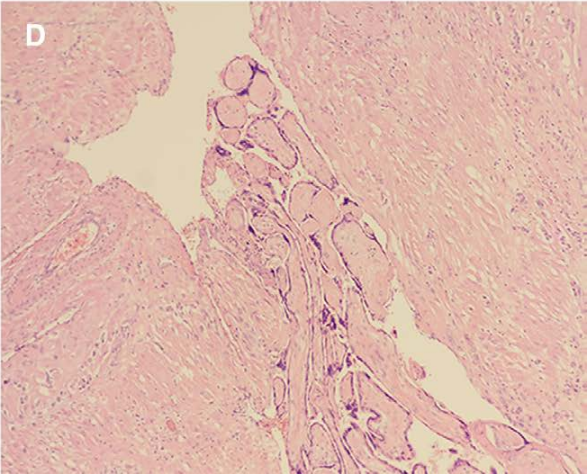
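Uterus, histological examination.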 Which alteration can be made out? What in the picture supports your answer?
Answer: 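Chorionic villi invaded the myometrium. Small rounded profiles, each with a thin purple-staining rim, cluster in a band running down the middle of the field. This band of rounded profiles lies directly against dense pink fibromuscular tissue, with no clear layer separating them. Pink tissue made of spindle-cell bundles fills most of the field on both sides.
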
